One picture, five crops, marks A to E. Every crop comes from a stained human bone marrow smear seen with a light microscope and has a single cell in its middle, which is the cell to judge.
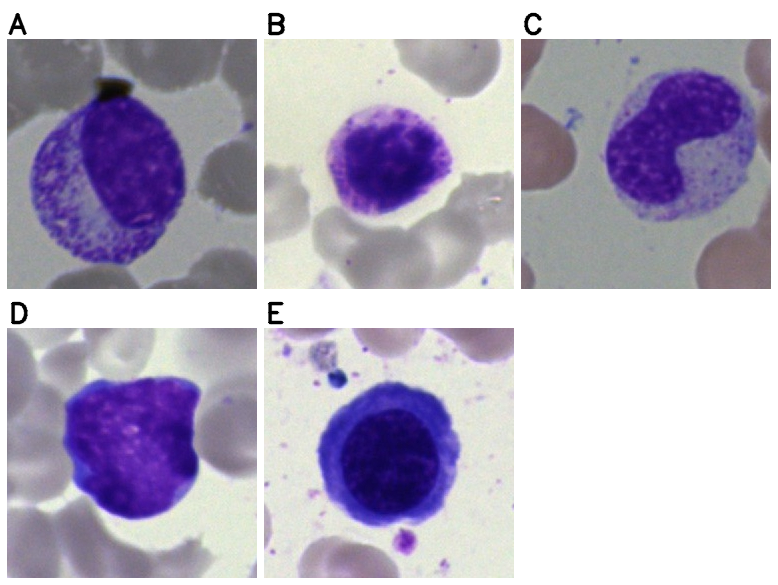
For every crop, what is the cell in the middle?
A: myelocyte
B: basophil
C: metamyelocyte
D: blast
E: normoblast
